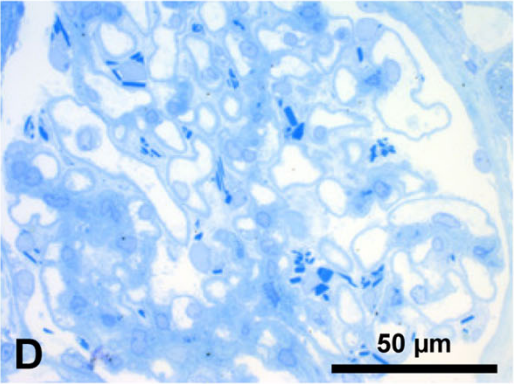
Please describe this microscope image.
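A glomerulus in a semithin section stained pale blue: the capillary loops form an open, lobulated tuft, with a clear space between it and the thin capsule at the upper right. Scattered through the tuft are small, intensely dark blue bodies with straight edges; some are slender rods or needles, others short blocky fragments, sometimes clustered in small groups. They contrast sharply with the pale cytoplasm and loops around them and have a crystalline look. Otherwise the loops are open and the cells show rounded nuclei in light blue cytoplasm.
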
